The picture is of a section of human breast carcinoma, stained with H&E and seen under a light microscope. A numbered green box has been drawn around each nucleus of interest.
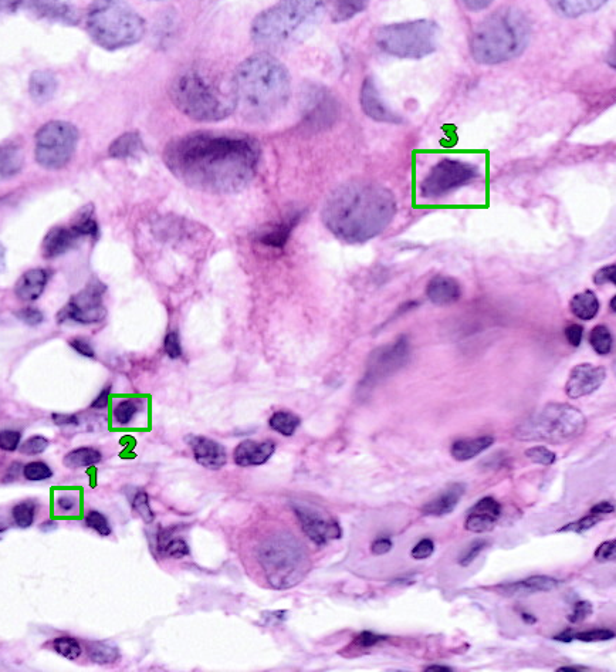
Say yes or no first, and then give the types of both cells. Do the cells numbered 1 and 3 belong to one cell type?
No, cell 3 is a carcinoma cell, but cell 1 is a lymphocyte.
